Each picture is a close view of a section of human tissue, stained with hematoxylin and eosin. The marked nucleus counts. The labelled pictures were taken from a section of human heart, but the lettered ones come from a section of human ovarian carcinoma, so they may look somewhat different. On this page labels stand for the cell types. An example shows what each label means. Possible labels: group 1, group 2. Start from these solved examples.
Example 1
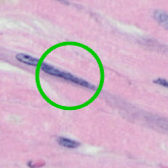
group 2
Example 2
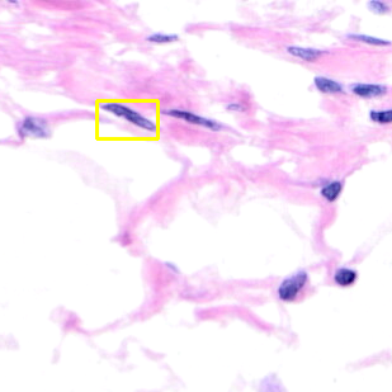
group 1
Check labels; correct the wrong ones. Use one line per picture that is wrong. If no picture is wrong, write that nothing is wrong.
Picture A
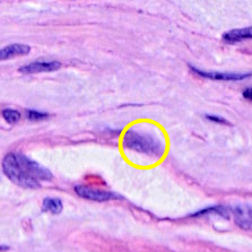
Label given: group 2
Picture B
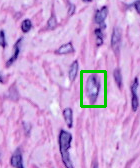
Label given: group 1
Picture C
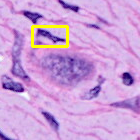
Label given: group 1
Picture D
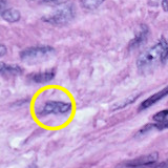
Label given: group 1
All labels are correct.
